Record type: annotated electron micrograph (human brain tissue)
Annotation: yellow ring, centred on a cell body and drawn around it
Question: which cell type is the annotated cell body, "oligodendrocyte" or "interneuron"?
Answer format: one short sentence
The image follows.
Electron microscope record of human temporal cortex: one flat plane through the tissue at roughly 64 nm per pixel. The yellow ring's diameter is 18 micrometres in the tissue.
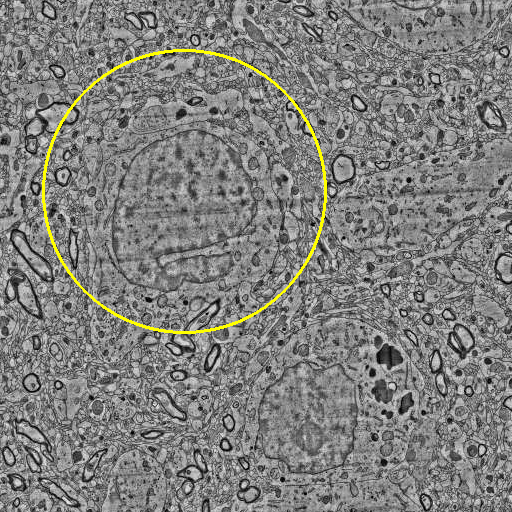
The annotated cell body is that of an interneuron.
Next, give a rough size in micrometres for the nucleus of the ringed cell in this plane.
The ringed cell's nucleus is about 11 micrometres long and 9 micrometres wide in this plane.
